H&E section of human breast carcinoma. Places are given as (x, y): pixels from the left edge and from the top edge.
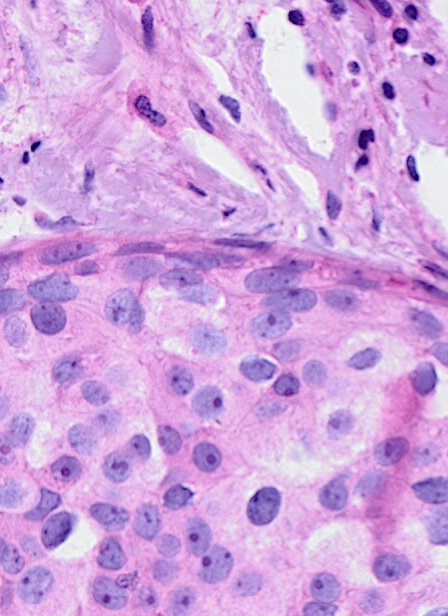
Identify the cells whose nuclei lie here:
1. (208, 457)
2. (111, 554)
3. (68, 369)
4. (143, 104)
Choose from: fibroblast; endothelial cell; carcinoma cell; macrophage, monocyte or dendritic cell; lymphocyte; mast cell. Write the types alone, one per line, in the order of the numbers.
carcinoma cell
carcinoma cell
carcinoma cell
mast cell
